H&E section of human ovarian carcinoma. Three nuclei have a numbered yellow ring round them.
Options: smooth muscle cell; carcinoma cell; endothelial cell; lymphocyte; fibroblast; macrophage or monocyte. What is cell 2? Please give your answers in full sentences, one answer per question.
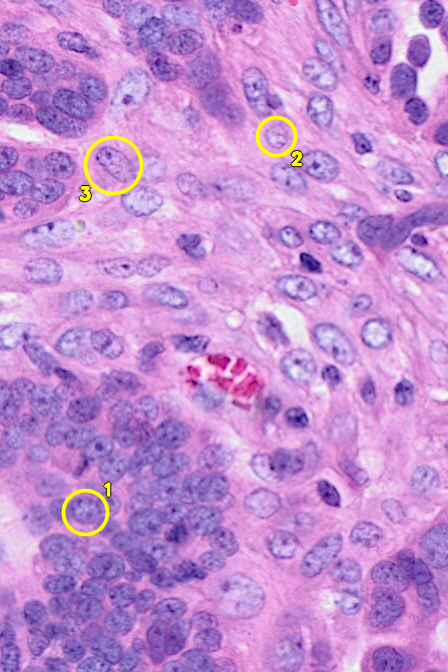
As for number 2, that cell is a fibroblast.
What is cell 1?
It is as a carcinoma cell that the cell numbered 1 is identified.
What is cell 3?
Regarding cell 3, this one is a fibroblast.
